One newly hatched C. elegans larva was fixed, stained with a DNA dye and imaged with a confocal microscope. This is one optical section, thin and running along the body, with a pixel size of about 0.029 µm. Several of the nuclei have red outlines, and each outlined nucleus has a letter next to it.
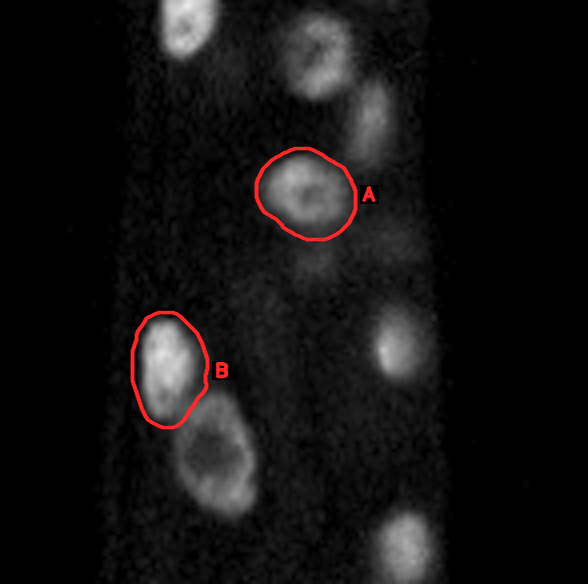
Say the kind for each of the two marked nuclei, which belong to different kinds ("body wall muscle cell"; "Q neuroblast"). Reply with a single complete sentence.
The nucleus A is that of a Q neuroblast, while B is that of a body wall muscle cell.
